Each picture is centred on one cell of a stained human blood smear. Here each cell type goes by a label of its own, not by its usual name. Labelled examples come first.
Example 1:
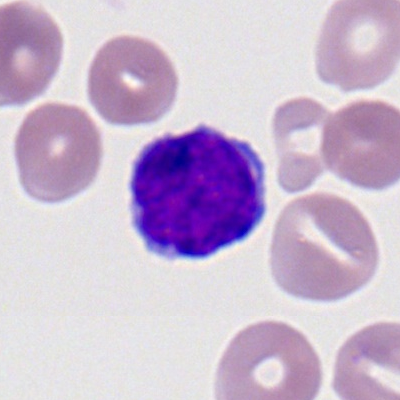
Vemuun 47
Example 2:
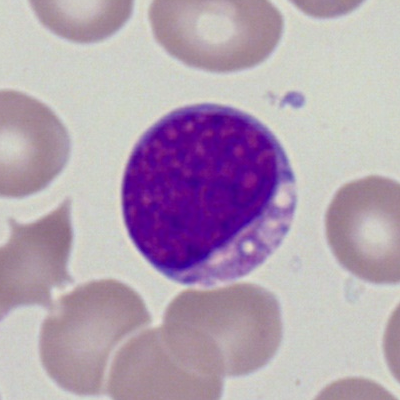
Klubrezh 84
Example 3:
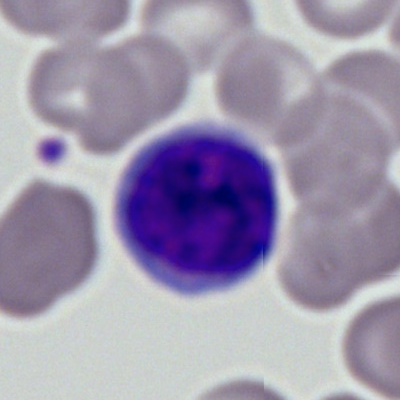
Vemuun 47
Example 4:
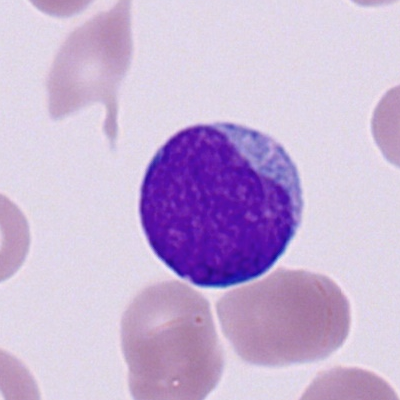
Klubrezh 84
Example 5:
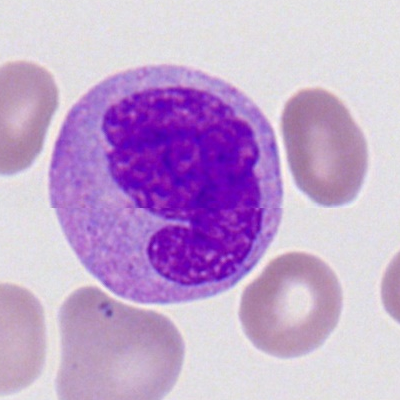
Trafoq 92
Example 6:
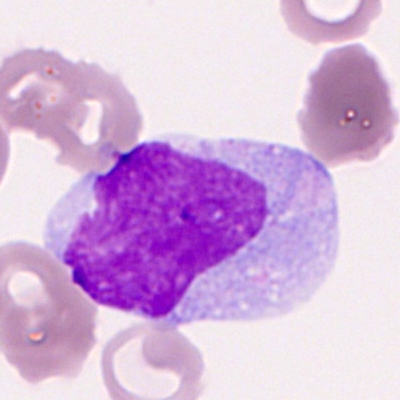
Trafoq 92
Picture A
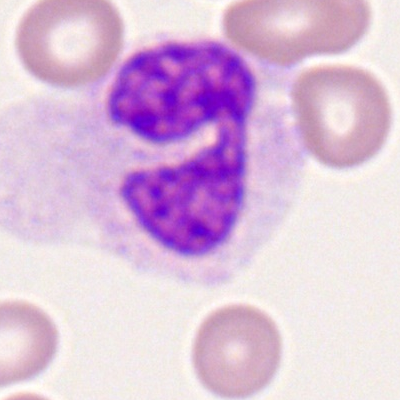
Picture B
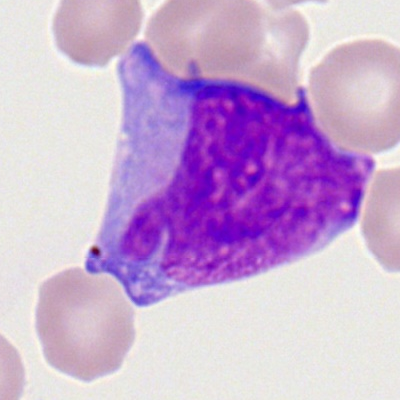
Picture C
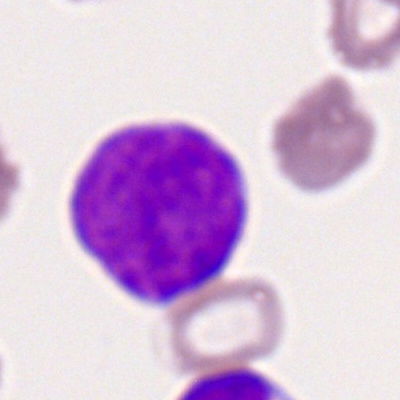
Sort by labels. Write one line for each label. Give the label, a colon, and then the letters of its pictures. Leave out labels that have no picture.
Klubrezh 84: B, C
Trafoq 92: A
